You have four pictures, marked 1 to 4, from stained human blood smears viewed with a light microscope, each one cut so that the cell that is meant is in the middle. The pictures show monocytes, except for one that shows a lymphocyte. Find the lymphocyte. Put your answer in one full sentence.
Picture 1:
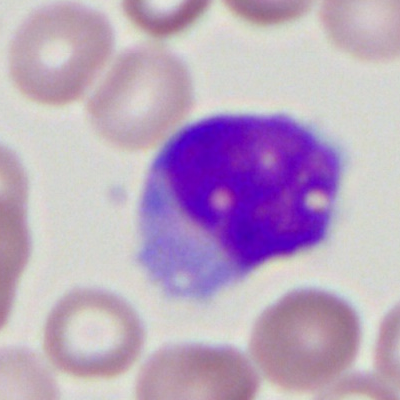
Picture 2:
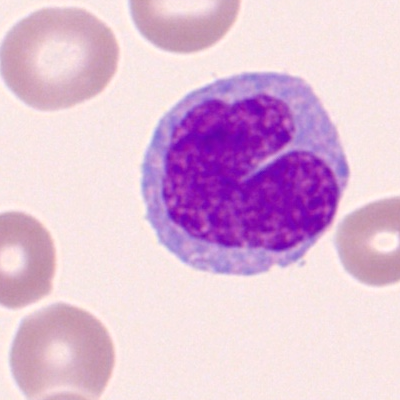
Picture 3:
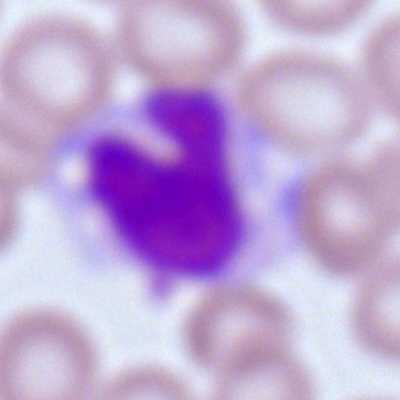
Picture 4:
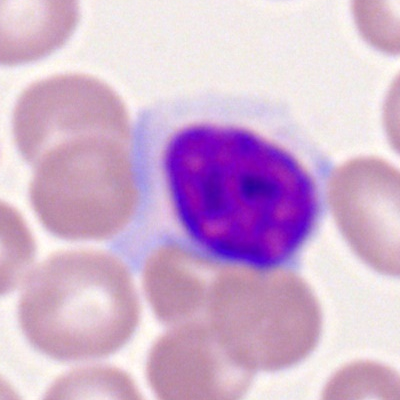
The cell in picture 4 is the lymphocyte.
